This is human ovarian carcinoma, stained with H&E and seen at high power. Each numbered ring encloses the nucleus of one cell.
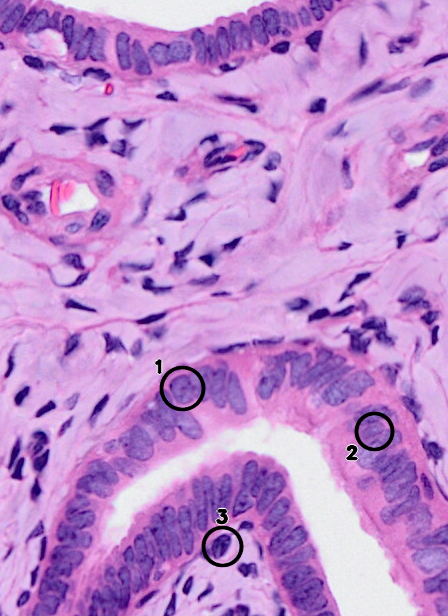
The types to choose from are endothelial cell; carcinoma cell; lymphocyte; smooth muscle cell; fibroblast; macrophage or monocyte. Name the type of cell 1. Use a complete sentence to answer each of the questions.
To a carcinoma cell belongs the nucleus marked 1.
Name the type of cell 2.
In this section, number 2 marks a carcinoma cell.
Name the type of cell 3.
The one numbered 3 among the marked cells is a lymphocyte.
